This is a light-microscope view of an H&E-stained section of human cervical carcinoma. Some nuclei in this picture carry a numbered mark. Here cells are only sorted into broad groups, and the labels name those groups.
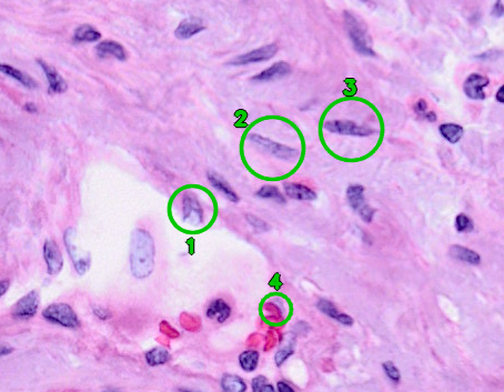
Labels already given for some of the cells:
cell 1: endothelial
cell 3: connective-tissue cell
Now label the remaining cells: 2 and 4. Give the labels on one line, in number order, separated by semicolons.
connective-tissue cell; endothelial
